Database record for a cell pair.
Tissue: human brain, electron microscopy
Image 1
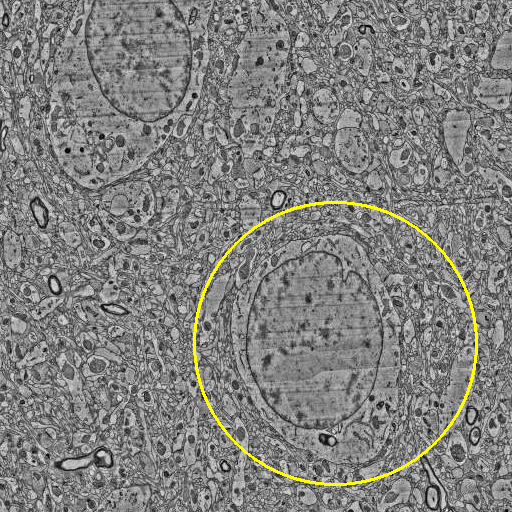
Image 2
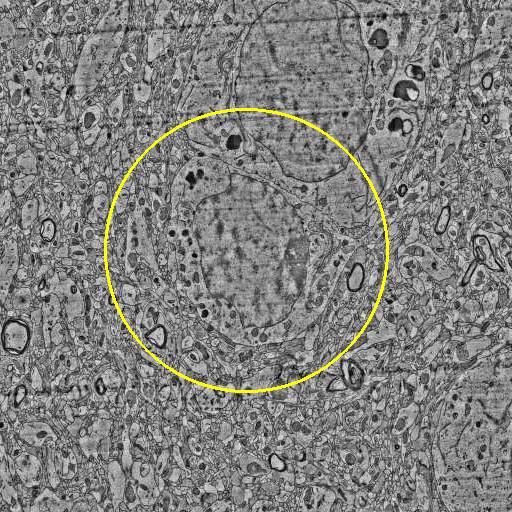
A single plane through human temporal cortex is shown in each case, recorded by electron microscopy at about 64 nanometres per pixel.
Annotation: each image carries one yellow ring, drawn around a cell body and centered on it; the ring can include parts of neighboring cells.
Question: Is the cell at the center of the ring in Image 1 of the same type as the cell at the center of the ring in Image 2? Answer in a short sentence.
No, the cells are of two types.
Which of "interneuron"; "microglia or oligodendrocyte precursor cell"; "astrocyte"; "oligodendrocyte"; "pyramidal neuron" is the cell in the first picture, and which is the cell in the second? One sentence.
The two differ: the first cell is a pyramidal neuron and the second is an interneuron.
